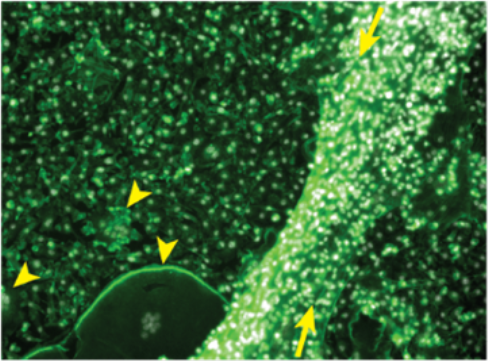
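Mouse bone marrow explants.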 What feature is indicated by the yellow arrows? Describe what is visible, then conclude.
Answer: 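The arrows point to a diagonal band crowded with small bright cells. That points to this answer: fibrous cell masses.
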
